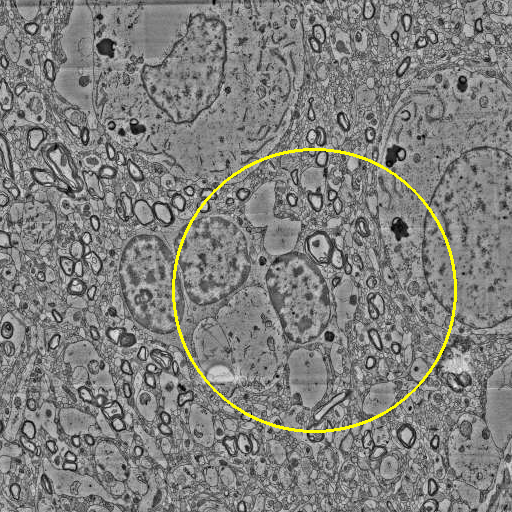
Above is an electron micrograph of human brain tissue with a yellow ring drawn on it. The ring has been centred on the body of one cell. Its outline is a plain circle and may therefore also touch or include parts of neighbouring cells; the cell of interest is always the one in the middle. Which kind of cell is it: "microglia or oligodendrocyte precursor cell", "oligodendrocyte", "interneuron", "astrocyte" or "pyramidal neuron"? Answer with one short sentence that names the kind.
The ring's central cell body is that of a microglial cell or oligodendrocyte precursor cell.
